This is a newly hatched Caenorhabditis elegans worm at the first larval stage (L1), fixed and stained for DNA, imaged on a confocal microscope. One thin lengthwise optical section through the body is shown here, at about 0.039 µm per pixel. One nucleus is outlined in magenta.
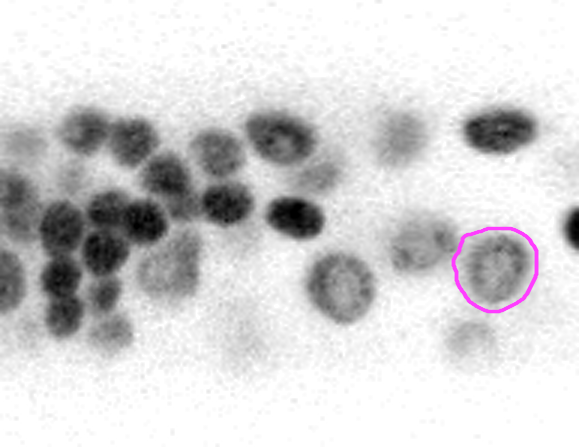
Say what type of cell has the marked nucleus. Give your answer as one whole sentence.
This nucleus is from a hypodermal cell (hyp).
